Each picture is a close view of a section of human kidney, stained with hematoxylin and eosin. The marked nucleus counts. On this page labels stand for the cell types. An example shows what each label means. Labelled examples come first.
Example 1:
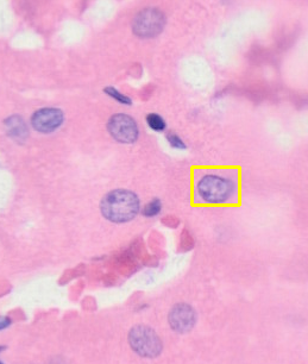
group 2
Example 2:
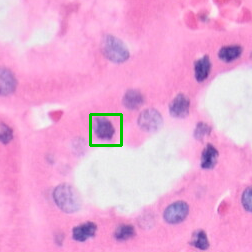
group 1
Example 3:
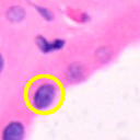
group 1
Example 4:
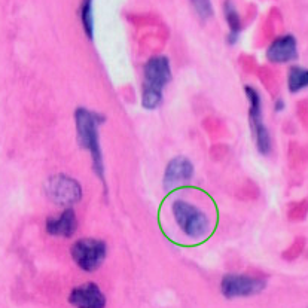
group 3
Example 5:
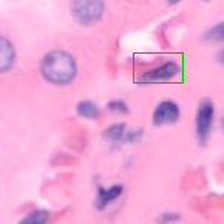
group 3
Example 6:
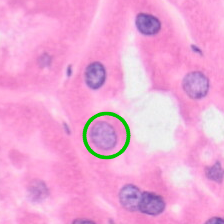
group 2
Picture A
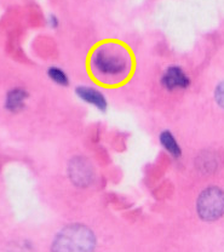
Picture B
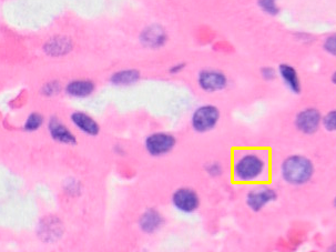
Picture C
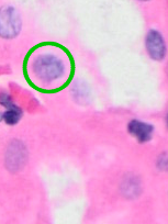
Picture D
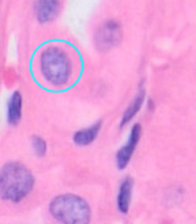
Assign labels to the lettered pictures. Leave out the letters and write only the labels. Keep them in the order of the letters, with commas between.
group 2, group 1, group 1, group 1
